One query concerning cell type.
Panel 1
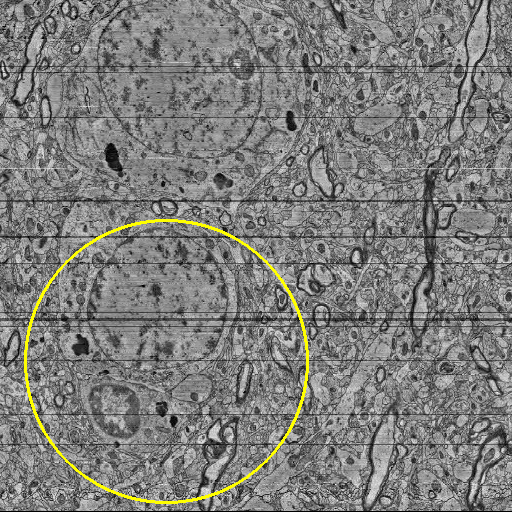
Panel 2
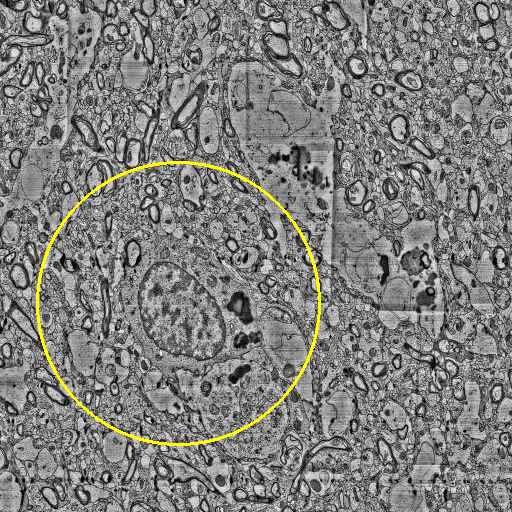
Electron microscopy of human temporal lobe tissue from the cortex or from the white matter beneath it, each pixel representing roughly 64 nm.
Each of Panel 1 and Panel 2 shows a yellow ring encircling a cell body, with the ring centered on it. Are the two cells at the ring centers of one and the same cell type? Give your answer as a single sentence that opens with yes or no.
No, the cell centered in Panel 1 and the one in Panel 2 are of two types.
